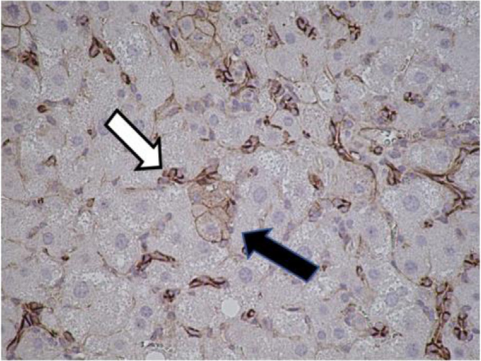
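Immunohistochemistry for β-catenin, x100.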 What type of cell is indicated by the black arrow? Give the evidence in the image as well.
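Small hepatocytes. The black arrow marks a small group of polygonal cells with faint brown membrane outlines. The group lies beside darkly brown, elongated cells.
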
